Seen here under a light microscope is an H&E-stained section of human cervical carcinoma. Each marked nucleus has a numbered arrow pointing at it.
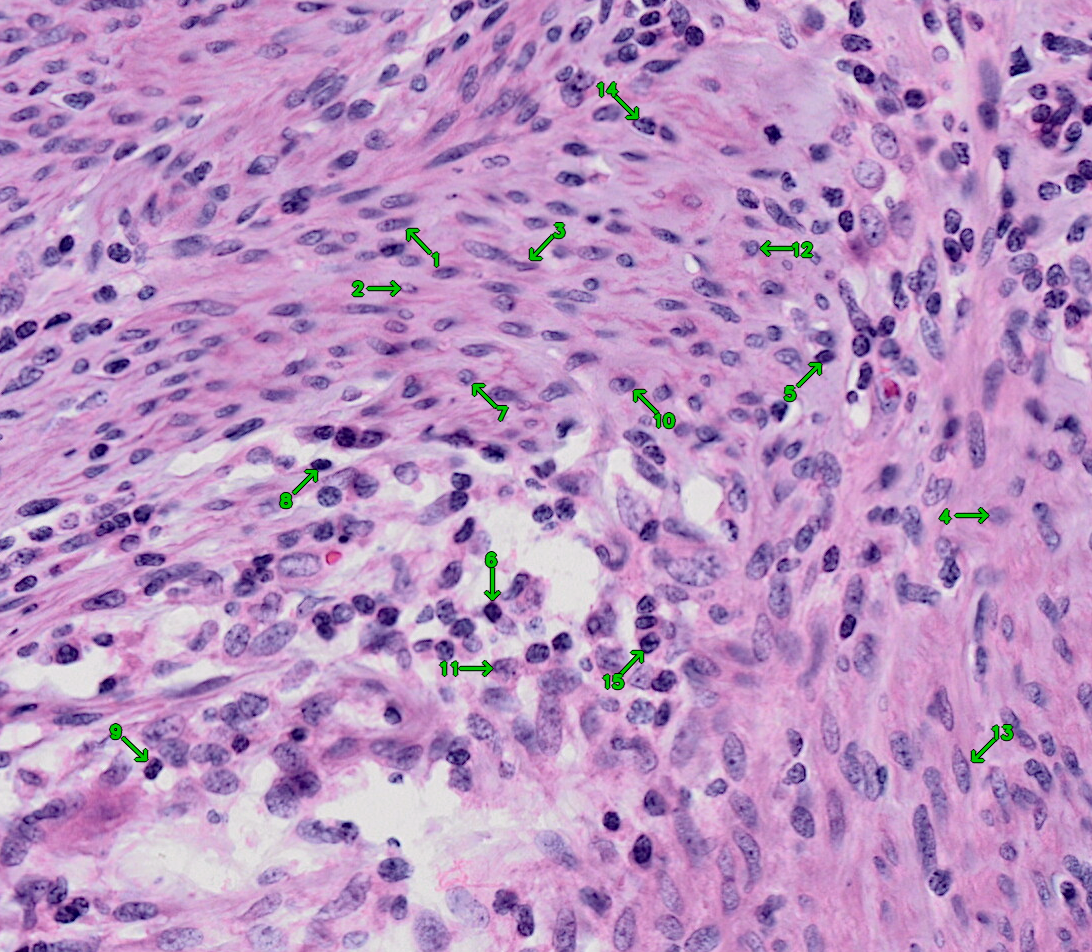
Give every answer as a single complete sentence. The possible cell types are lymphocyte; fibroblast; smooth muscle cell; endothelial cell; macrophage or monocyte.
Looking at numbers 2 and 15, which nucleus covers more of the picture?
Of the two, number 15 is bigger and takes up about 2.5 times the area of number 2.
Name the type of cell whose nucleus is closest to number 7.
Closest to number 7 lies the nucleus of a smooth muscle cell.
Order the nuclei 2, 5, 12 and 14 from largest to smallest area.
From largest to smallest, the order is 14, 5, 12, 2.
